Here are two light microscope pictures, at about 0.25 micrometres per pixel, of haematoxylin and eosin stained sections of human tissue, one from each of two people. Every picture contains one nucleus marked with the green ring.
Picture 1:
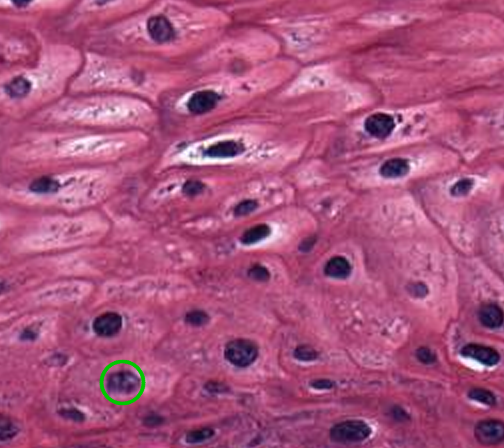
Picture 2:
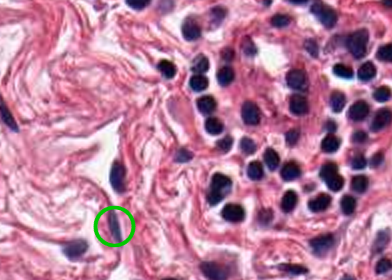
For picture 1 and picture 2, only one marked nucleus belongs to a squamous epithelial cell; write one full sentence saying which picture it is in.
The nucleus of a squamous epithelial cell carries the mark in picture 1.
